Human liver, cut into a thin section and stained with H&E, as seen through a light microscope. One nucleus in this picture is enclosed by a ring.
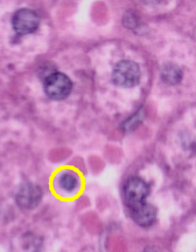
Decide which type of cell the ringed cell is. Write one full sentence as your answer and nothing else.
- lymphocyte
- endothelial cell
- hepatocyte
The identity of the ringed cell is that of a lymphocyte.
